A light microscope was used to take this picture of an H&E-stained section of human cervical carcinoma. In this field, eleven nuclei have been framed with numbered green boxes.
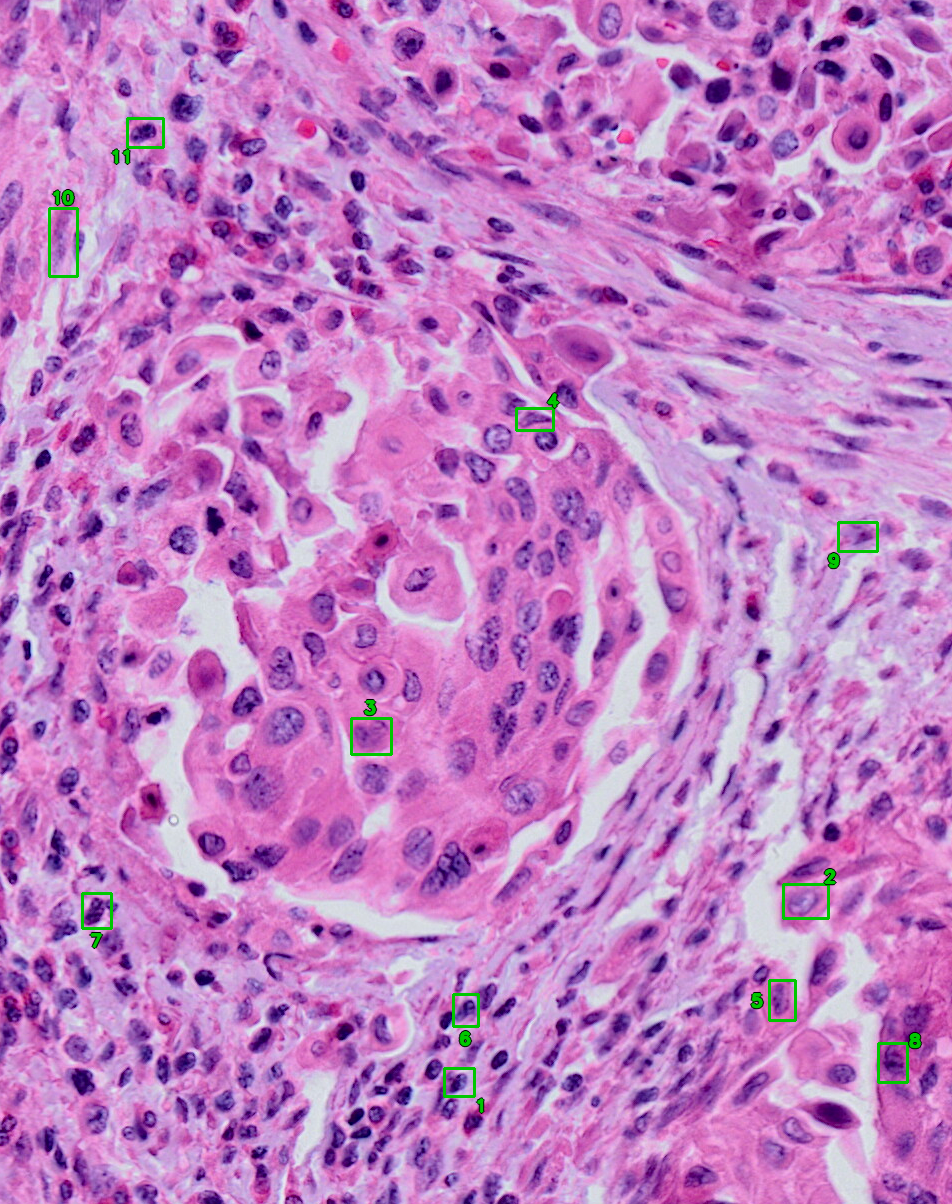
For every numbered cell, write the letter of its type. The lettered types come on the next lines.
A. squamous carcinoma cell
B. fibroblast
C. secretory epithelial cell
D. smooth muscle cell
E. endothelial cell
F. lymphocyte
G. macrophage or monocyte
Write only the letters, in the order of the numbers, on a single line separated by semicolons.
F; A; A; A; A; F; F; A; B; B; F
